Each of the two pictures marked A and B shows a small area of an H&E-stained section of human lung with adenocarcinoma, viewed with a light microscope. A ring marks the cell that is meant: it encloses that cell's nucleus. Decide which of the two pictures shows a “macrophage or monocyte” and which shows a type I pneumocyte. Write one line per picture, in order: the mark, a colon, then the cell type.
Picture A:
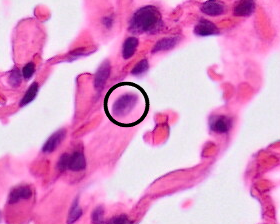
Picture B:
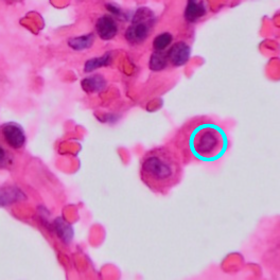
A: type I pneumocyte
B: macrophage or monocyte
